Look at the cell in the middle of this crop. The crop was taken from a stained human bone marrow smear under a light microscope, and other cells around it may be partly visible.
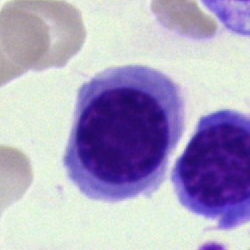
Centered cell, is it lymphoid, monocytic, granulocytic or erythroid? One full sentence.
It is the erythroid lineage to which the central cell belongs.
